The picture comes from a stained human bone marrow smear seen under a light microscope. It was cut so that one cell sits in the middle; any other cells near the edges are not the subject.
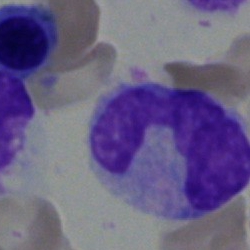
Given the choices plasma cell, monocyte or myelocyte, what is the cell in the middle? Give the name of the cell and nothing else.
monocyte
